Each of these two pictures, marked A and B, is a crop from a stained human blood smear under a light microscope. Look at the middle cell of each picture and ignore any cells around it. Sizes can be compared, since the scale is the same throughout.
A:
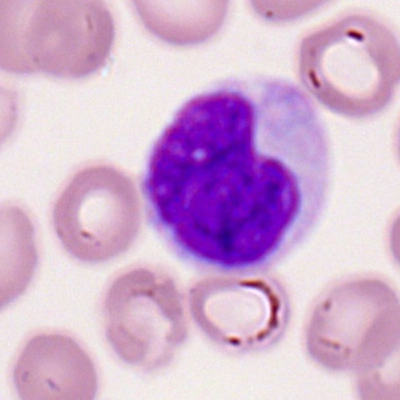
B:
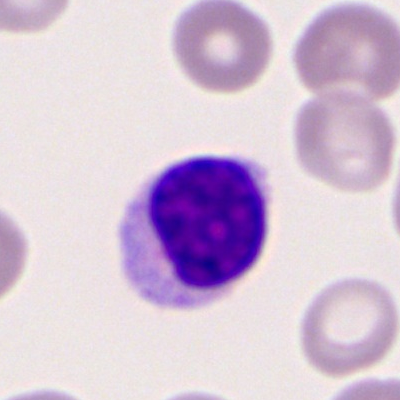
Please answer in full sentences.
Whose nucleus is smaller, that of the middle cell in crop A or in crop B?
Smaller is the nucleus in crop B, and the other is about 1.5 times as large in area.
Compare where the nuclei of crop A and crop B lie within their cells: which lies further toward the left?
Seen within its cell, the nucleus in crop A lies further toward the left.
